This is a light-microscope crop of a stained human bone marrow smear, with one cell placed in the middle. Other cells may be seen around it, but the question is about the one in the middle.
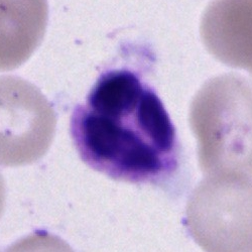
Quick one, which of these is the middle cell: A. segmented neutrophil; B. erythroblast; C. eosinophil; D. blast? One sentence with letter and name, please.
The cell at the centre, correctly named in option A, is a segmented neutrophil.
